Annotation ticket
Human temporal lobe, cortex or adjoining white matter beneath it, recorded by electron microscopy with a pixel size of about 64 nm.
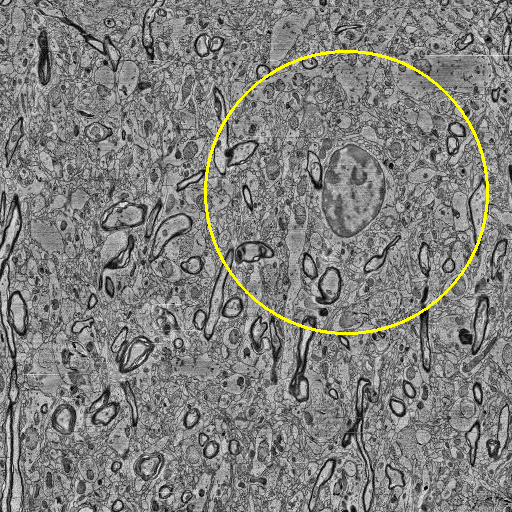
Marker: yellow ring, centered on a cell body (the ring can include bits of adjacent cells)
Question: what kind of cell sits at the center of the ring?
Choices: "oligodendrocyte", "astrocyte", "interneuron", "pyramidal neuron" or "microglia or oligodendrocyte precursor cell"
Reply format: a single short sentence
The ring is centered on a microglial cell or oligodendrocyte precursor cell.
